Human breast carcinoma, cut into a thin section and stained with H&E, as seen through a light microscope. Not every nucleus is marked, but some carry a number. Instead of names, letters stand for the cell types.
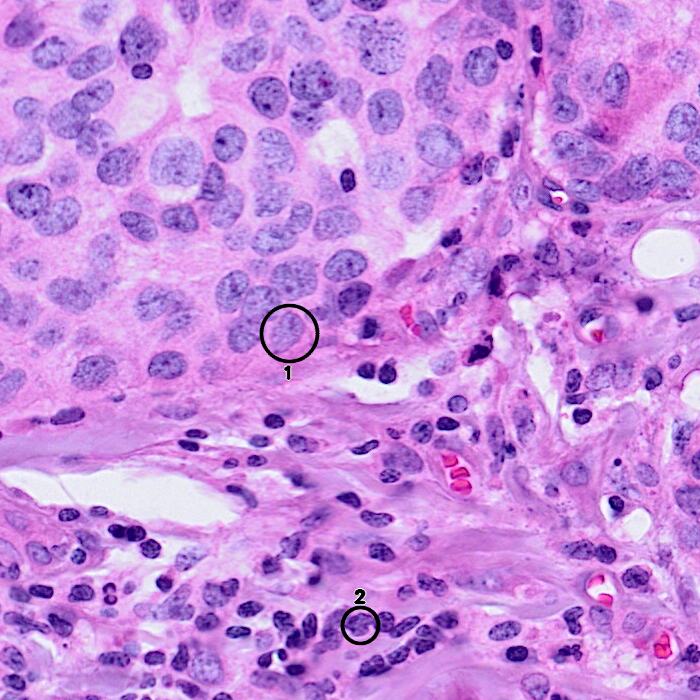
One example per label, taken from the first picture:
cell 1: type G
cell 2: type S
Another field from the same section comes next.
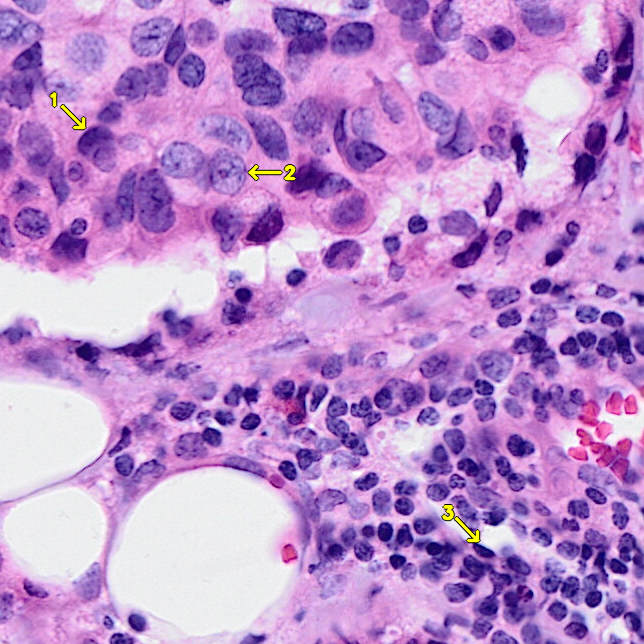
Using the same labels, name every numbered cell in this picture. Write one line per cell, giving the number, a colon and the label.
1: type G
2: type G
3: type S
